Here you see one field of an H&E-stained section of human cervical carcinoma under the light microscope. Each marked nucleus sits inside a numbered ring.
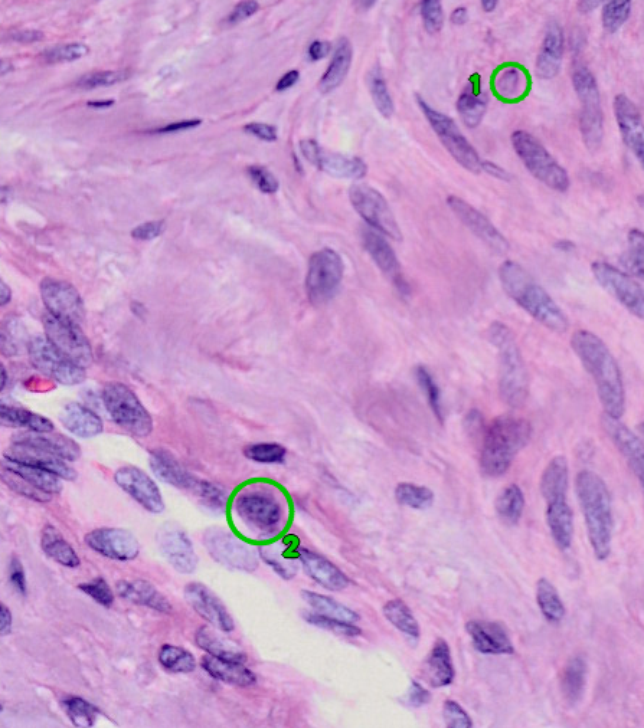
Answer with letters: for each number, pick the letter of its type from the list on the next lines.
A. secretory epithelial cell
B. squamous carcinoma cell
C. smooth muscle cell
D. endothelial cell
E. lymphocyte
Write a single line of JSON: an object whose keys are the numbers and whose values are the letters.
{"1": "C", "2": "D"}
